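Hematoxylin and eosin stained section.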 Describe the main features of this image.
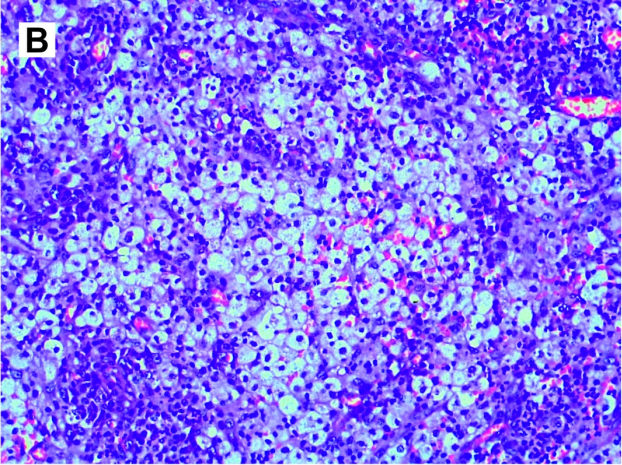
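This field is crowded with large foamy macrophages, also called xanthoma cells, whose pale, finely bubbly cytoplasm gives them a washed-out look. Each has a small, round, dark nucleus, and they pack together in sheets. Small dark round inflammatory cells crowd around the edges and between them, with scattered red blood cells.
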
